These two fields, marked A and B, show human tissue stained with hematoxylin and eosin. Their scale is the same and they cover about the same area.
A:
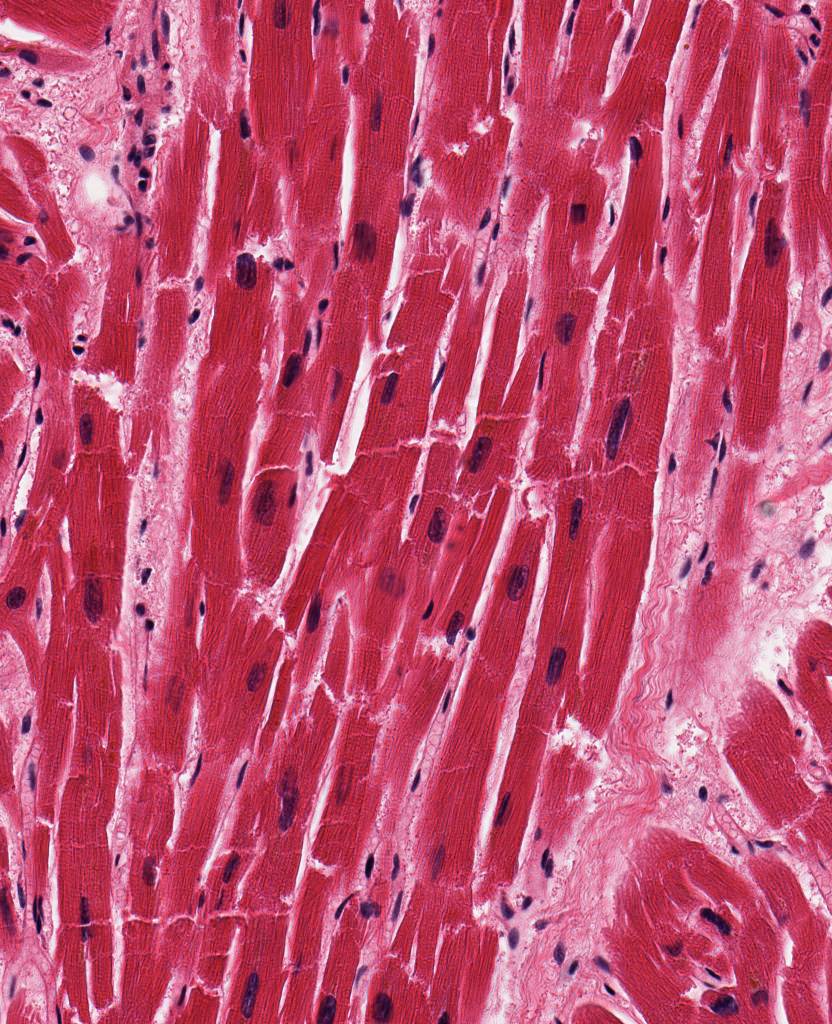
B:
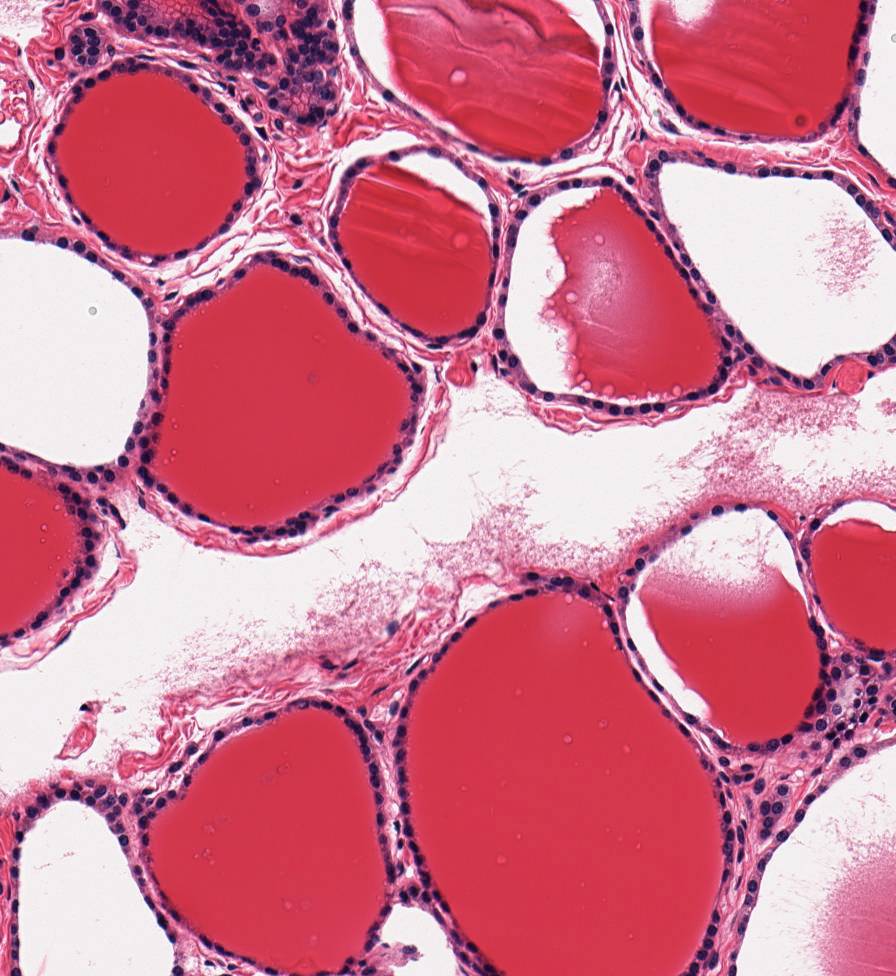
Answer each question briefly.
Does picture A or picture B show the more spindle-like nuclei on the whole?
A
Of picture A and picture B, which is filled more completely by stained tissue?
A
